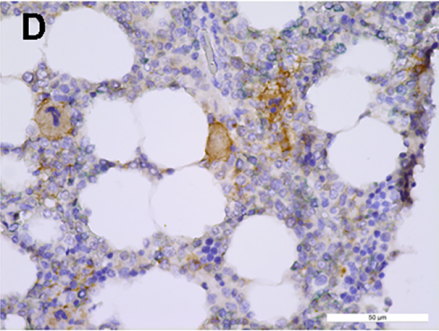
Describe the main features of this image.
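This is bone marrow, with many large round empty spaces left by fat cells filling much of the field. Between these spaces lie densely packed small blood-forming cells with round blue nuclei and scant cytoplasm. A few much larger cells with abundant cytoplasm stand out, their cytoplasm stained brown. Many of the small cells show faint brown staining at their borders, and a greenish tint lies over parts of the cellular areas. A darker strip of staining runs along the right edge of the field.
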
